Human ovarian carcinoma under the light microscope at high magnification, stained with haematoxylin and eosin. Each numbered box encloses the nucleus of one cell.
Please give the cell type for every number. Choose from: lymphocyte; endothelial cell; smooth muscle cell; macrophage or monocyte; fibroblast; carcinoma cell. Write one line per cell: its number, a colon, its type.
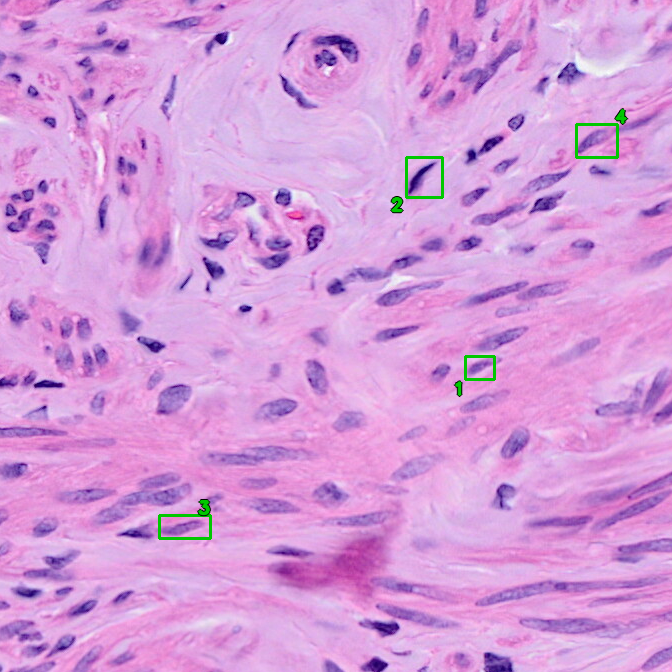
1: smooth muscle cell
2: fibroblast
3: smooth muscle cell
4: smooth muscle cell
